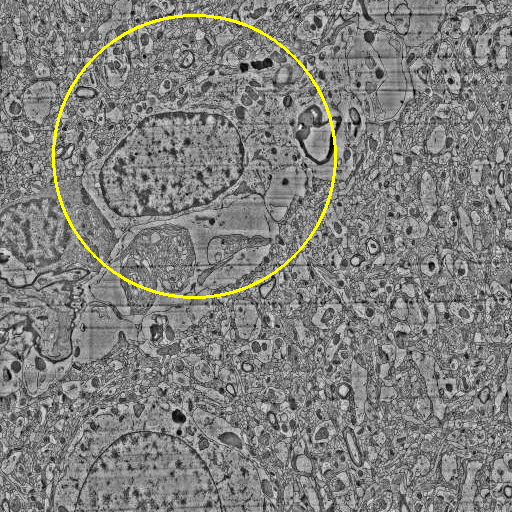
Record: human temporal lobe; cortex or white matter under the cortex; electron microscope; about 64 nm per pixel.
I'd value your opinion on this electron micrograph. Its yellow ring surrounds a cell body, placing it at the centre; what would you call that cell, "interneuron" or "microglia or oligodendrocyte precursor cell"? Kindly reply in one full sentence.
It is a microglial cell or oligodendrocyte precursor cell that sits centred within the yellow ring in this micrograph.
